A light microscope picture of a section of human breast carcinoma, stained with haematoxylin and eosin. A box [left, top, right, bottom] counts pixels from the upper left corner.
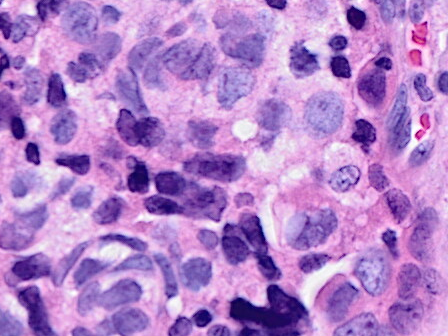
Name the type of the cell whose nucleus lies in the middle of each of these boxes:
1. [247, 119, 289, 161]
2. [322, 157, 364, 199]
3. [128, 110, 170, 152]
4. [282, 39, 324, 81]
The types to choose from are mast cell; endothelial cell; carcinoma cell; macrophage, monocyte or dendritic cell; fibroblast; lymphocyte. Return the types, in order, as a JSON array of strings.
["carcinoma cell", "macrophage, monocyte or dendritic cell", "carcinoma cell", "carcinoma cell"]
